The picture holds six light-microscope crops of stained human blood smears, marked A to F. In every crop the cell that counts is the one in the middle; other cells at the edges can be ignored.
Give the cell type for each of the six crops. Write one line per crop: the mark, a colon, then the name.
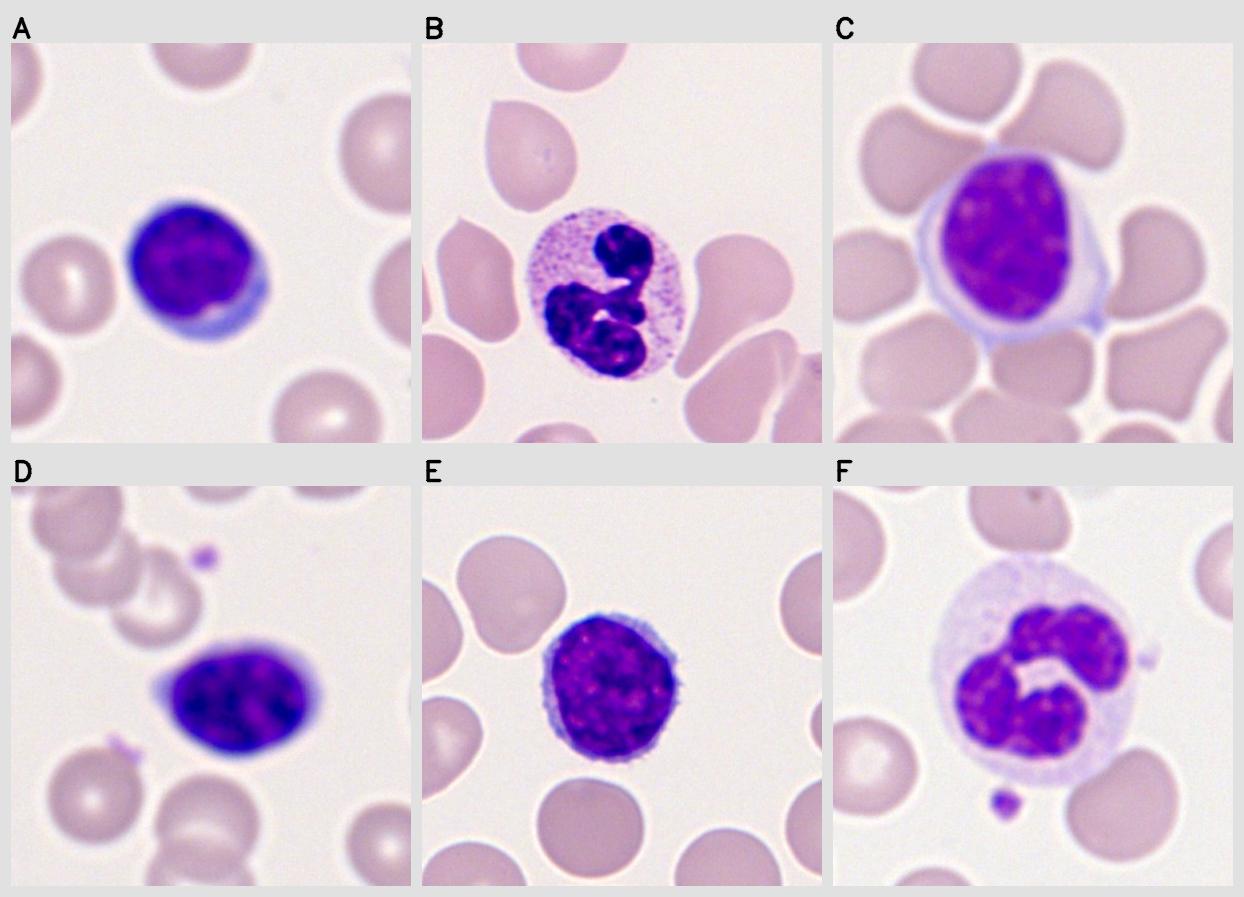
A: lymphocyte
B: segmented neutrophil
C: lymphocyte
D: lymphocyte
E: lymphocyte
F: segmented neutrophil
